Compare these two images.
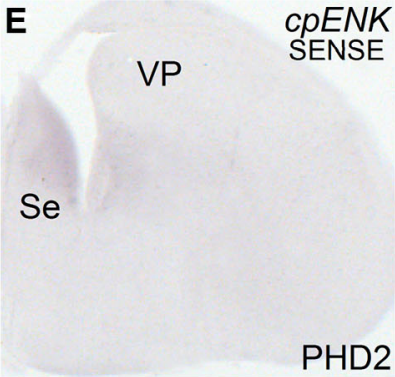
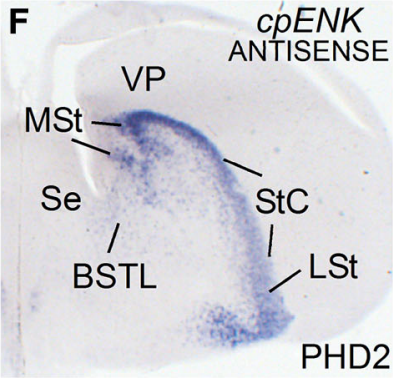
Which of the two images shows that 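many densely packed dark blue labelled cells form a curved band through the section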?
The second image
